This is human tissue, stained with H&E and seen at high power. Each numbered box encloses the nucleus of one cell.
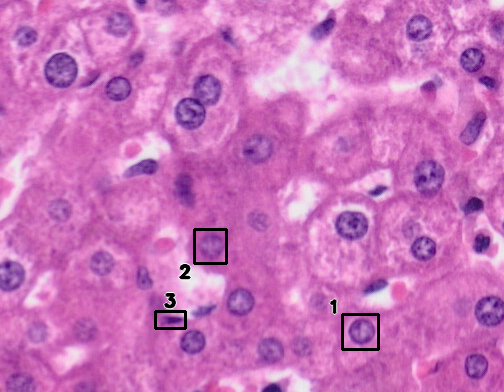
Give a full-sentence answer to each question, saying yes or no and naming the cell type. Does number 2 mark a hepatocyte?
Yes, the cell that the number 2 labels is a hepatocyte.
